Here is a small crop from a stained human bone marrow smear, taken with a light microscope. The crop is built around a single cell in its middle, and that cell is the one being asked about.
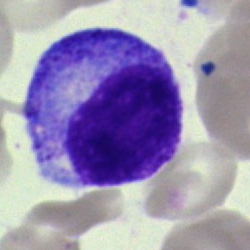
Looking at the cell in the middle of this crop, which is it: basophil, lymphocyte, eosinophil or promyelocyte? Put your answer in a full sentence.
The cell at the central position in this crop is a promyelocyte.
